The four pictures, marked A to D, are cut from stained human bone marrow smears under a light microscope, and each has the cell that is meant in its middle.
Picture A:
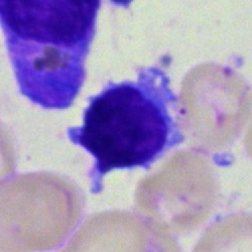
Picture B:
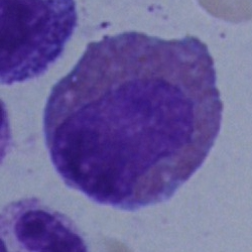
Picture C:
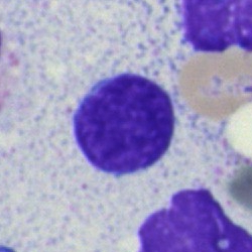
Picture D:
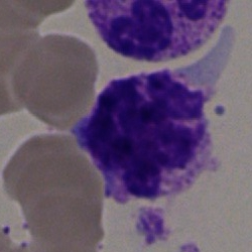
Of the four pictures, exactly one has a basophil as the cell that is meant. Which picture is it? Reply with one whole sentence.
The basophil is the one in picture D.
